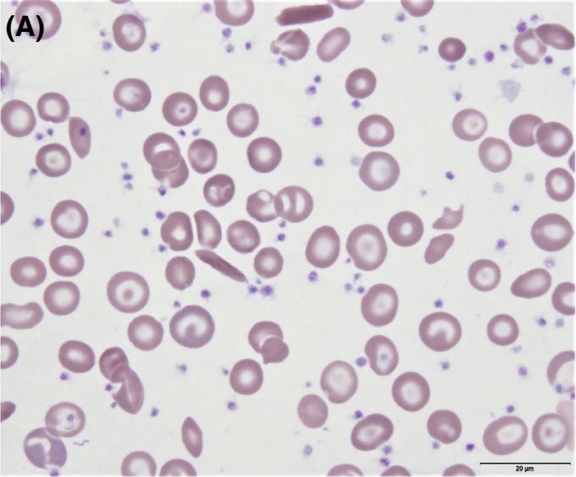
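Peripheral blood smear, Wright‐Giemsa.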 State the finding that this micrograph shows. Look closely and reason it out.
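Many small purple fragments are scattered between the red cells throughout the field.
Conclusion: increased platelets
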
